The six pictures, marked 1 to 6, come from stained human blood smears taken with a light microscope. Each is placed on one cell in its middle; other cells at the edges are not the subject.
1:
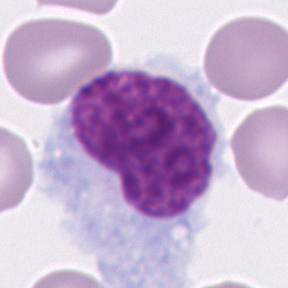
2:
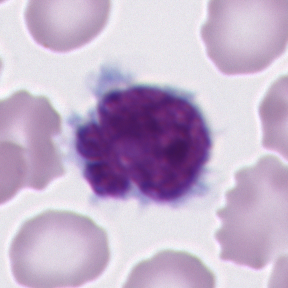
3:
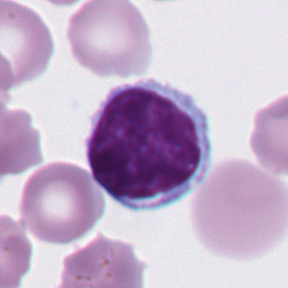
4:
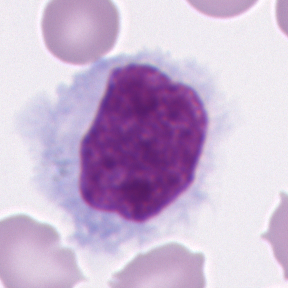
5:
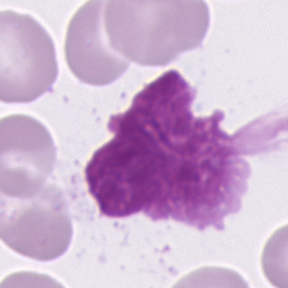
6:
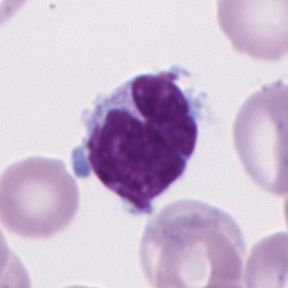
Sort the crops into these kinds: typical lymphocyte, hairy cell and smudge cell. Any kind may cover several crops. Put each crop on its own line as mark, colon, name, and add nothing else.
1: hairy cell
2: hairy cell
3: typical lymphocyte
4: hairy cell
5: smudge cell
6: typical lymphocyte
